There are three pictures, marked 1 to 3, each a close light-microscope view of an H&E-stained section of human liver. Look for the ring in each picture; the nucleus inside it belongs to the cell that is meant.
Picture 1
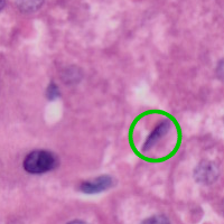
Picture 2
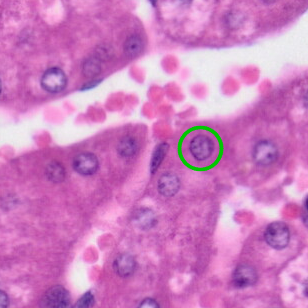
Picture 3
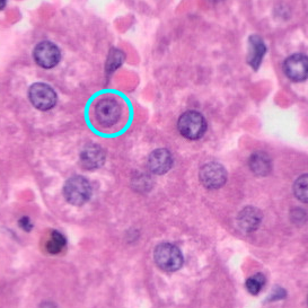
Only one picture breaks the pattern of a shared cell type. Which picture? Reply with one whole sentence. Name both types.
Unlike the rest, which show hepatocytes, picture 1 shows an endothelial cell.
